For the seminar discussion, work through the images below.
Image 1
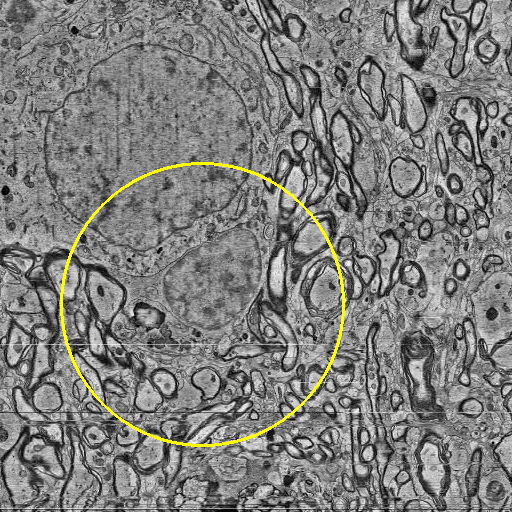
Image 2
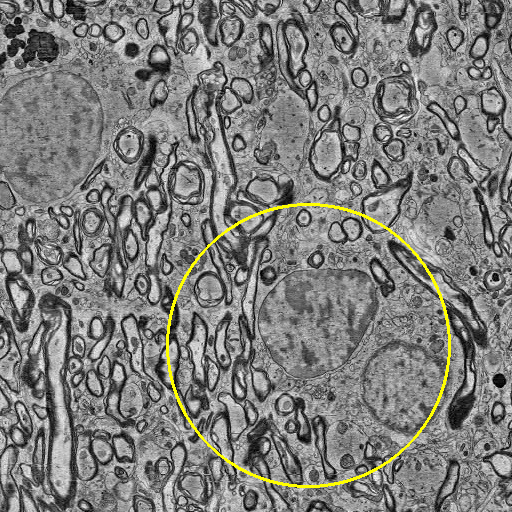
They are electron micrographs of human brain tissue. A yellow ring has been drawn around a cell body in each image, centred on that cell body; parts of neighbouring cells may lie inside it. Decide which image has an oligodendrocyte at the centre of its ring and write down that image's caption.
Image 1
